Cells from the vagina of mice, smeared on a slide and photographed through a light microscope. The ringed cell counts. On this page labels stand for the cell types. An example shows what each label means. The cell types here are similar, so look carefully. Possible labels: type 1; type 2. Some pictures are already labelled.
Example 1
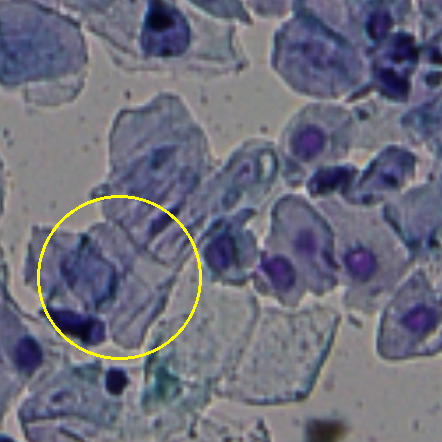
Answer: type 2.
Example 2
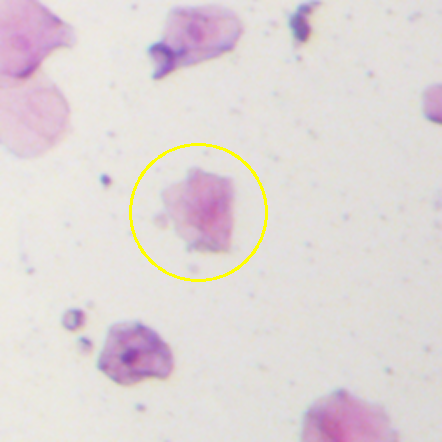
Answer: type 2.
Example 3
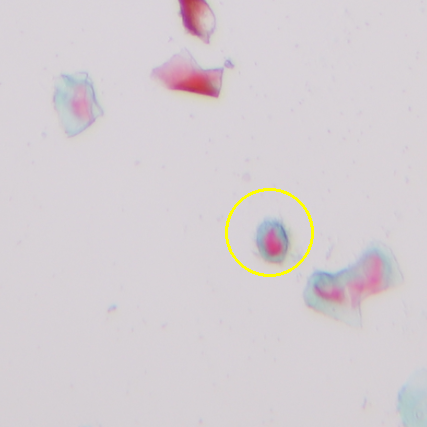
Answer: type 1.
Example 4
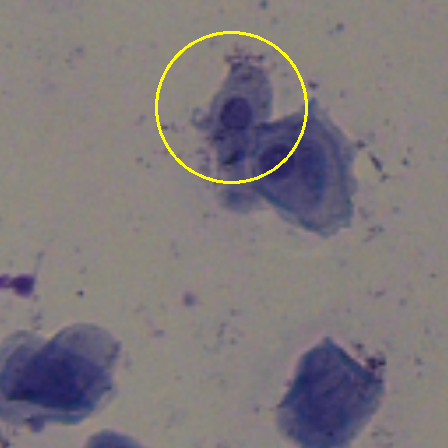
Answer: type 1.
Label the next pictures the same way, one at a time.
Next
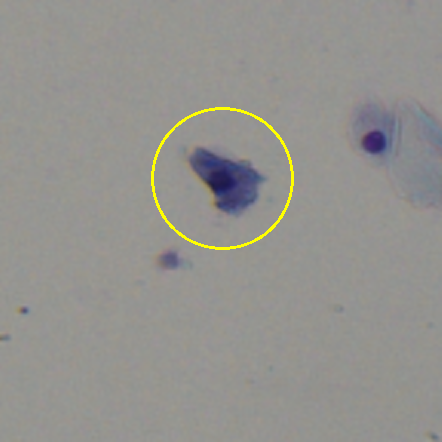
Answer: type 1.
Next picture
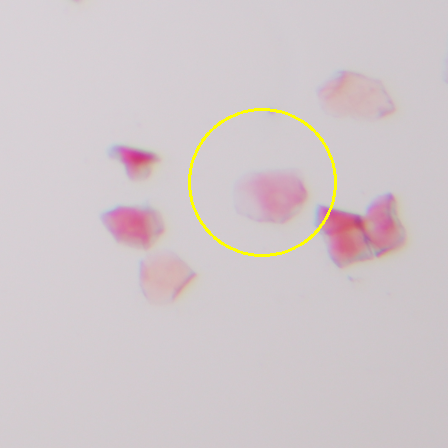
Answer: type 2.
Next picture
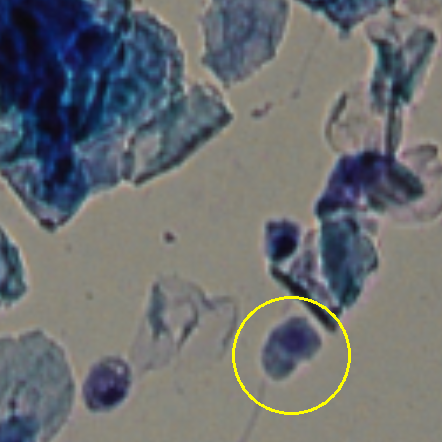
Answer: type 1.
